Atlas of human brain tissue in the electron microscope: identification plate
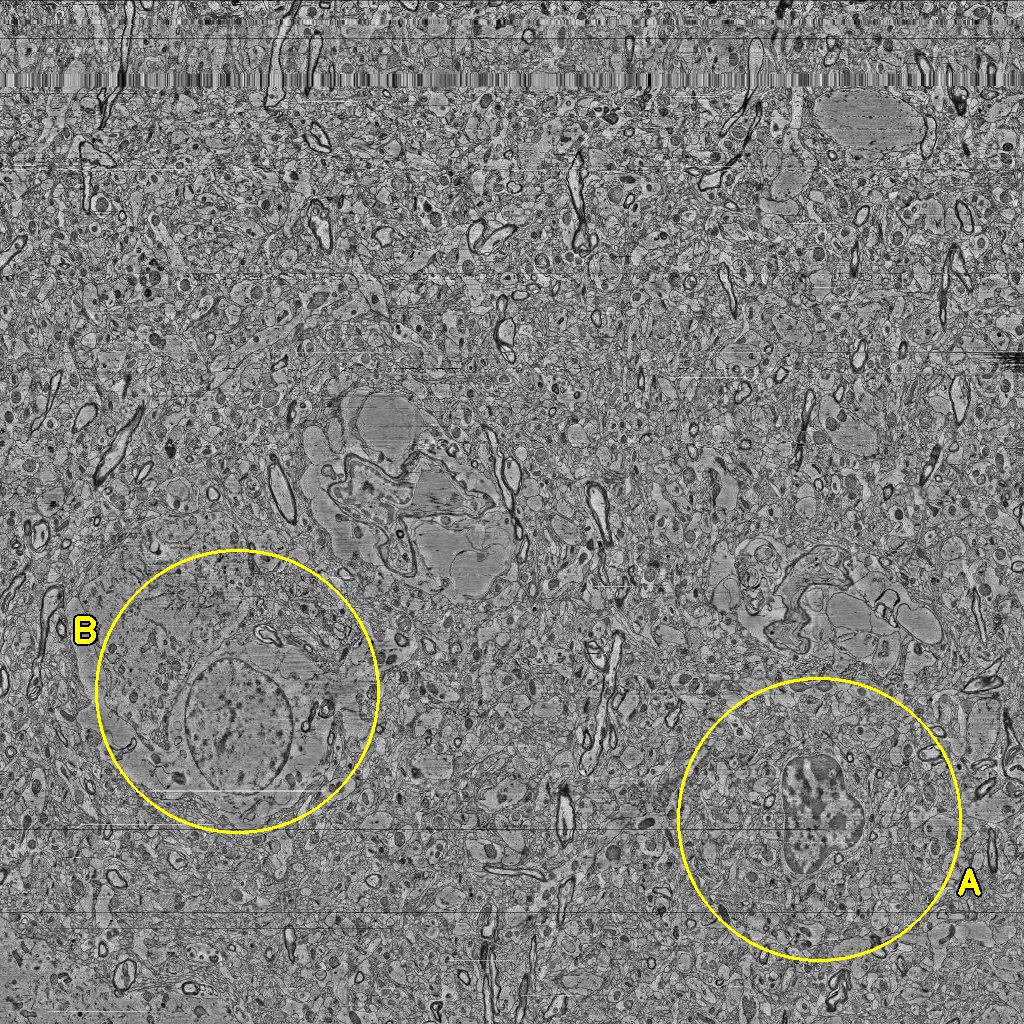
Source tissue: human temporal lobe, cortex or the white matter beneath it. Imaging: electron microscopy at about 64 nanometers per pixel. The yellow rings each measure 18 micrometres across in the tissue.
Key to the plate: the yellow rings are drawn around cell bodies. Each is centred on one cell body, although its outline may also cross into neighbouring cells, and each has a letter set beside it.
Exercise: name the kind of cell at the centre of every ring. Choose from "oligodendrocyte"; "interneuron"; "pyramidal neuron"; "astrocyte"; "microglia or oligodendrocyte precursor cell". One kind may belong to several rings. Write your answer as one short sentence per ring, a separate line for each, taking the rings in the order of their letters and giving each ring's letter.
The centre of ring A is occupied by a microglial cell or oligodendrocyte precursor cell.
The centre of ring B is occupied by an astrocyte.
